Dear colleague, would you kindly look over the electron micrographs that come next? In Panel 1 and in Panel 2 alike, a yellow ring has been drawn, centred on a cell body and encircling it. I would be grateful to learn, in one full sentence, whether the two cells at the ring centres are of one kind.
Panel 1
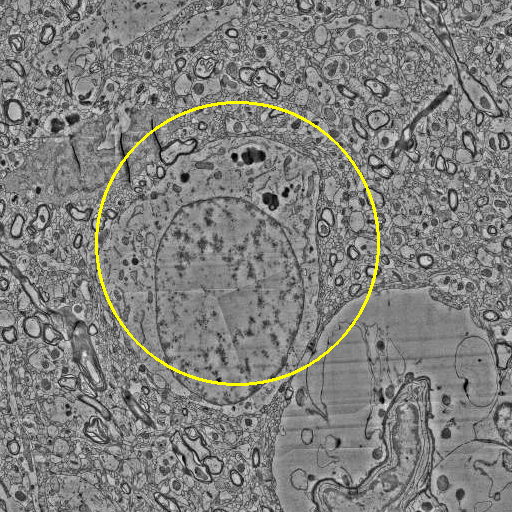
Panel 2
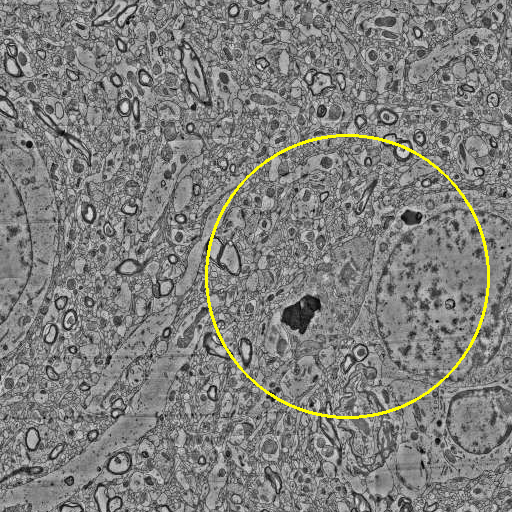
No, the cells in the middle of the rings in the two panels are of two kinds.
